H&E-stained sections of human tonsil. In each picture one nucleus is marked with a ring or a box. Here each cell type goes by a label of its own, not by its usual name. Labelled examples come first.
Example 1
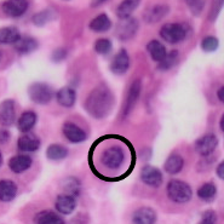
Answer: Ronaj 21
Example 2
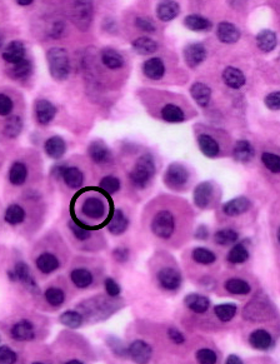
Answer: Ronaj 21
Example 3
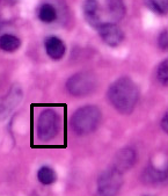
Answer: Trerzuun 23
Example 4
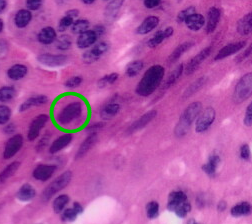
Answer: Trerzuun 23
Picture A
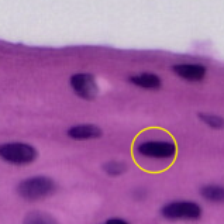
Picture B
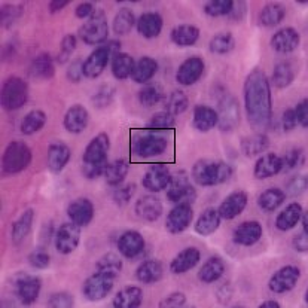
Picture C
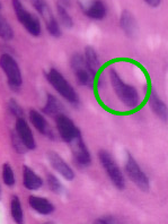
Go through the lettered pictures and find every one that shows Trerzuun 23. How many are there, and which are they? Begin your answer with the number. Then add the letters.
Count: 2 (A, C)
